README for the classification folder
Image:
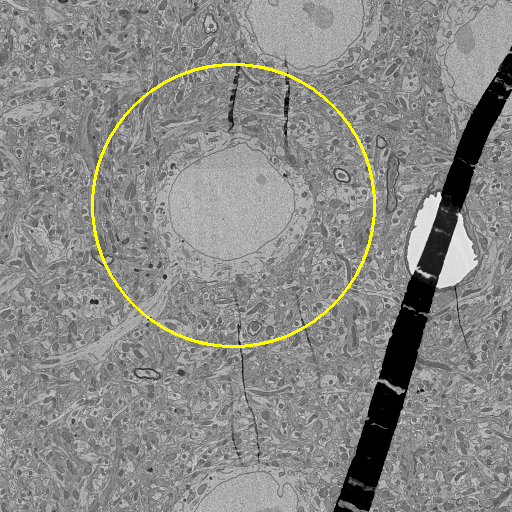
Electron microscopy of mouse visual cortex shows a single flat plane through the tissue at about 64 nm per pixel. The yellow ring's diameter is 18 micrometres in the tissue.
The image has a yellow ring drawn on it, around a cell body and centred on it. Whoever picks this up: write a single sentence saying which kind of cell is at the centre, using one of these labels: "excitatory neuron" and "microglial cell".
This cell body is that of an excitatory neuron.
